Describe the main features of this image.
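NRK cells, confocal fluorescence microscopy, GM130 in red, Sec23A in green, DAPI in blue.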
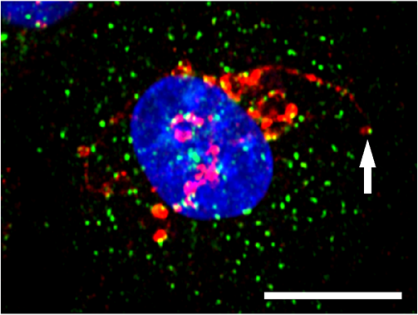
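A cultured cell with a large oval blue nucleus is surrounded by many small green puncta scattered through the cytoplasm. One such thin red tubule ends in a small dot near the periphery, where it meets a green punctum and looks orange-yellow.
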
